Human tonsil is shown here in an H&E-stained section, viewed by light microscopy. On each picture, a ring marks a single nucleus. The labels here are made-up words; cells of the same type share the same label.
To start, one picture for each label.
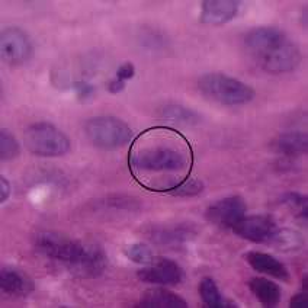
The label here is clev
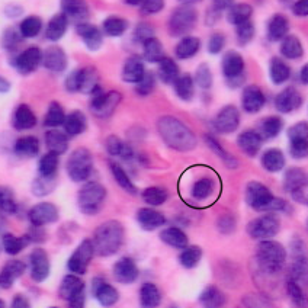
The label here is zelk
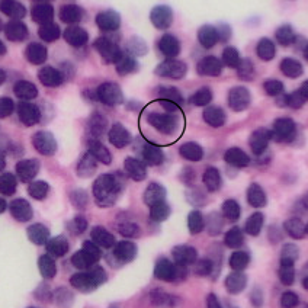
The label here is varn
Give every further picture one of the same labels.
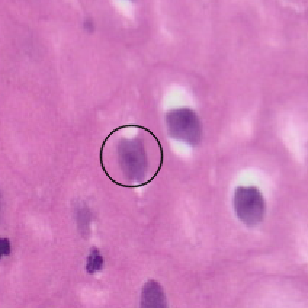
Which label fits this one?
clev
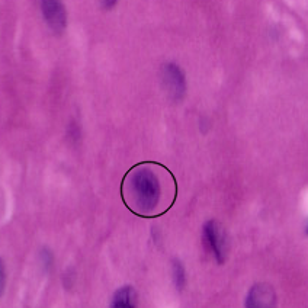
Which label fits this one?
clev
